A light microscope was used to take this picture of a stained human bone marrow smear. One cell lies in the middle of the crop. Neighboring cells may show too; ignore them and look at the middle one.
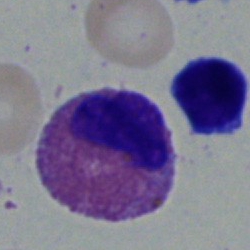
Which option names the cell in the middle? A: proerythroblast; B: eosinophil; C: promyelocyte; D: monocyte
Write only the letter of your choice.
B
